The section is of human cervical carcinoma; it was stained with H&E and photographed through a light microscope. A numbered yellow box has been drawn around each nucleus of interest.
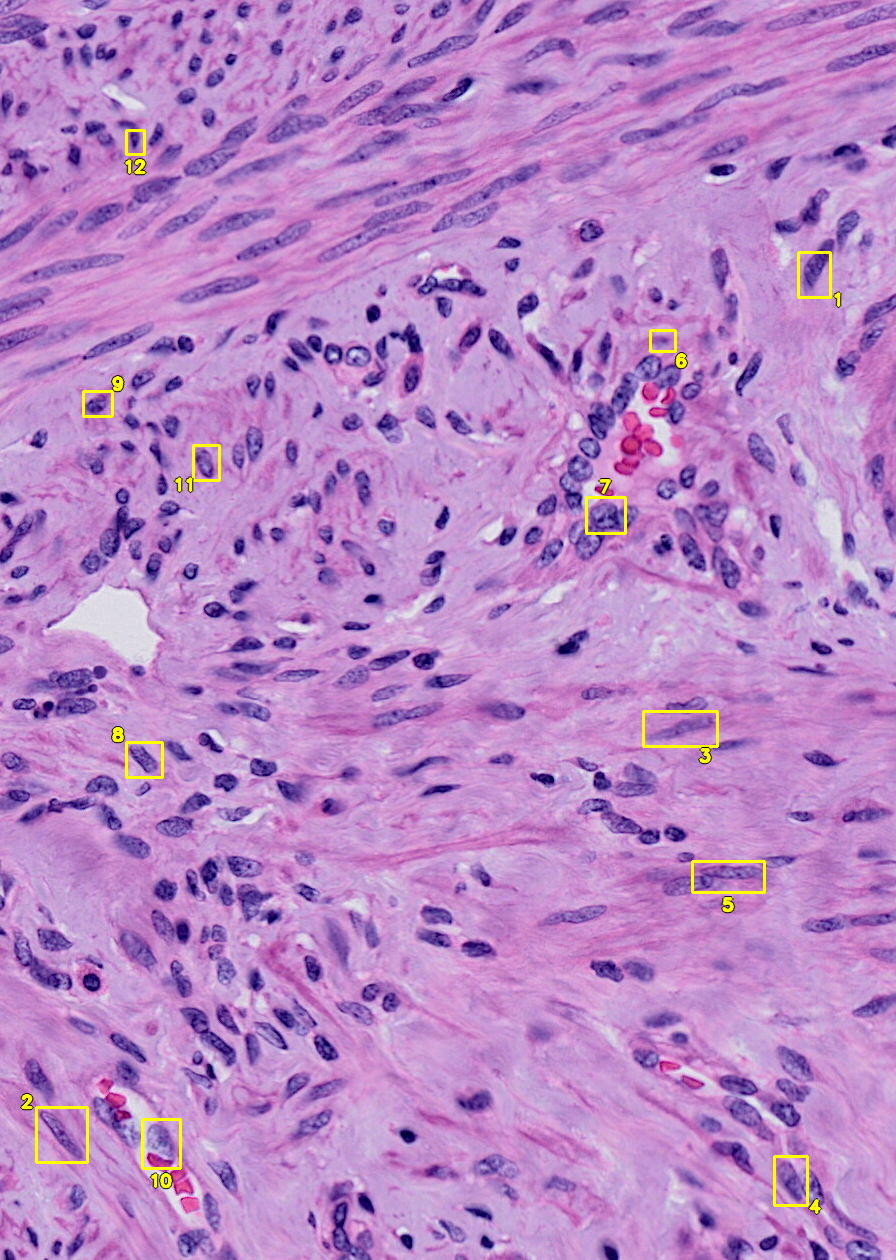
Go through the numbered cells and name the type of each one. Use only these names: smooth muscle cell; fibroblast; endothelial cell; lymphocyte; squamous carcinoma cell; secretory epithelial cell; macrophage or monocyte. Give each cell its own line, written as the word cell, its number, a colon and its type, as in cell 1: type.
cell 1: fibroblast
cell 2: smooth muscle cell
cell 3: smooth muscle cell
cell 4: endothelial cell
cell 5: smooth muscle cell
cell 6: smooth muscle cell
cell 7: endothelial cell
cell 8: fibroblast
cell 9: smooth muscle cell
cell 10: endothelial cell
cell 11: smooth muscle cell
cell 12: smooth muscle cell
